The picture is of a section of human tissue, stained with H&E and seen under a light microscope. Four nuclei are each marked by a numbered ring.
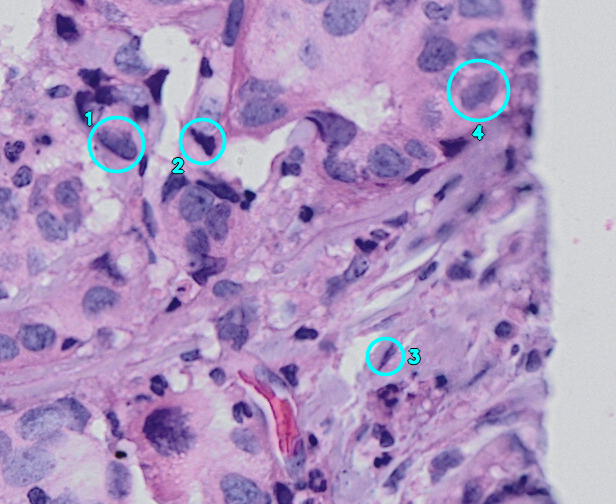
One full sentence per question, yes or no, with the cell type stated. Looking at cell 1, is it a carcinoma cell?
Yes, cell 1 among the marked cells is a carcinoma cell.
